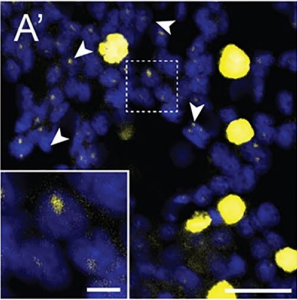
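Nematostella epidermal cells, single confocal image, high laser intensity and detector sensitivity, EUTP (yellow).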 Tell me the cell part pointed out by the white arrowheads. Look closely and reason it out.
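Tiny yellow dots lie inside several blue nuclei. The dots are far smaller than a nucleus, one or few per nucleus. The answer: small nucleolus-like dots.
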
